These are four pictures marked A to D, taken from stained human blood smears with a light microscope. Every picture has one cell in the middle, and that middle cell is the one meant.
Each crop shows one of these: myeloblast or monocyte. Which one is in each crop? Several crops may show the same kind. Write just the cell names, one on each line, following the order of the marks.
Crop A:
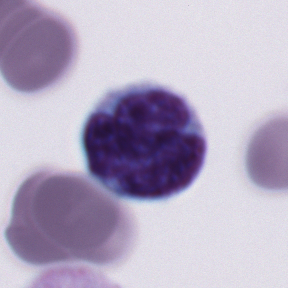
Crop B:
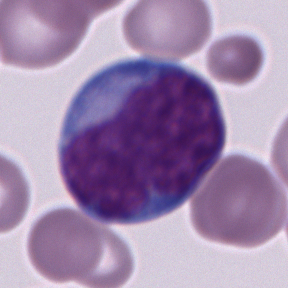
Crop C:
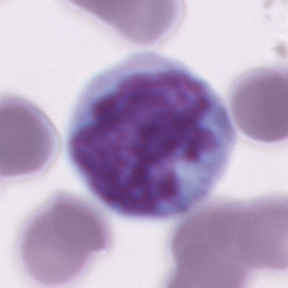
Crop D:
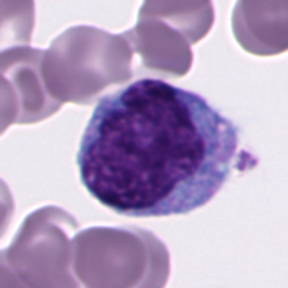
monocyte
myeloblast
monocyte
monocyte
